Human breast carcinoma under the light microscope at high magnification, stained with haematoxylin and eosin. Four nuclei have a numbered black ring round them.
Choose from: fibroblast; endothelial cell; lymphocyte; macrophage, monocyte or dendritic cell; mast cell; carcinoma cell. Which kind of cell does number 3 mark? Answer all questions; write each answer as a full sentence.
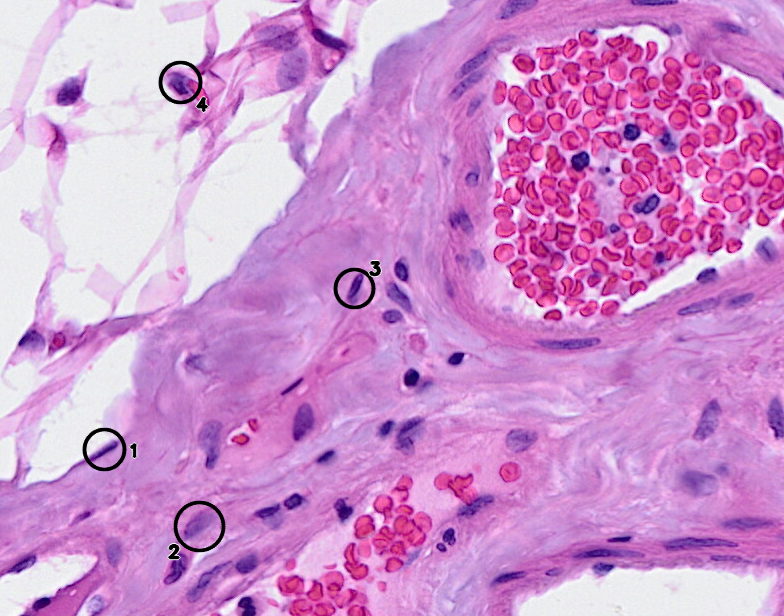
Cell 3, as marked in the section, is a fibroblast.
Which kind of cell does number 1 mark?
Cell 1 of the marked set is a fibroblast.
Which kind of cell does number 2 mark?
The cell bearing label 2 corresponds to a fibroblast.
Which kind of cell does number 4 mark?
Cell 4, among those numbered, is an endothelial cell.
